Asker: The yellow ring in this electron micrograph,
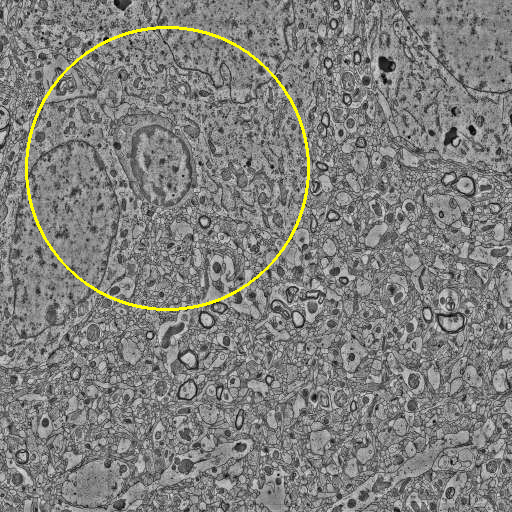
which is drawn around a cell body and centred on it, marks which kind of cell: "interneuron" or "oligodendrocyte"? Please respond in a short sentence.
The marked cell is an oligodendrocyte.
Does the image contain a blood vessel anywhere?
No.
